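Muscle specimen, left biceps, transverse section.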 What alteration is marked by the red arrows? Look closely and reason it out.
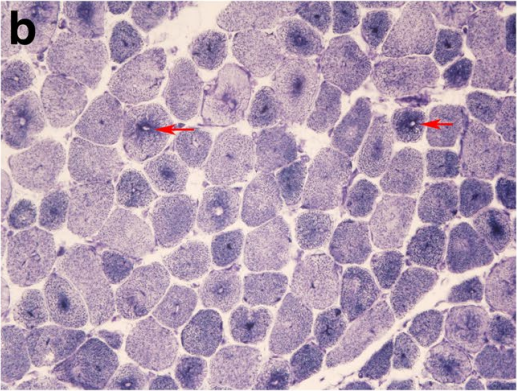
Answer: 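The arrowed fibres have a darker blue central zone around a pale central spot. Fine dark strands run outward from the fibre centre toward its edge.
Conclusion: radiates like spokes of a wheel from the centre to the periphery of the fibres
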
